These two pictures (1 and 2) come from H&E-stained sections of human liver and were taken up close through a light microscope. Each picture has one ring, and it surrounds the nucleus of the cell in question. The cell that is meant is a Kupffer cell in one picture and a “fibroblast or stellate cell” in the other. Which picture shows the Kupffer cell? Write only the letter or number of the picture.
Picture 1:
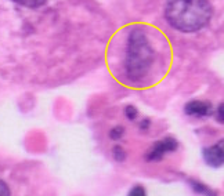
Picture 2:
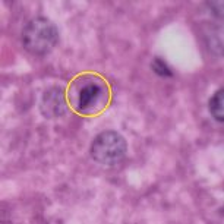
1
